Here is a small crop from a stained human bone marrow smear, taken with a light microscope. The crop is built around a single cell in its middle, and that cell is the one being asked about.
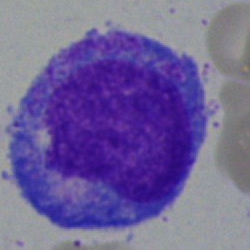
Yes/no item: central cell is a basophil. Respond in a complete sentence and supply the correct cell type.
No, this is not a basophil at all; the cell in the middle is a promyelocyte.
